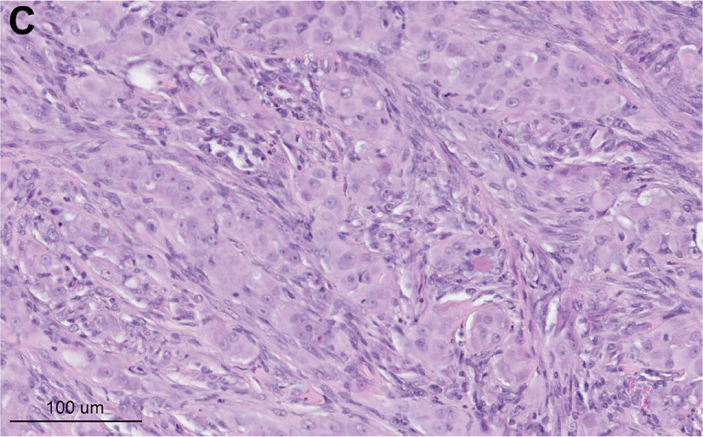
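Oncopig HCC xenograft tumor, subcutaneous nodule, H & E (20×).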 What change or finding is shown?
densely cellular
